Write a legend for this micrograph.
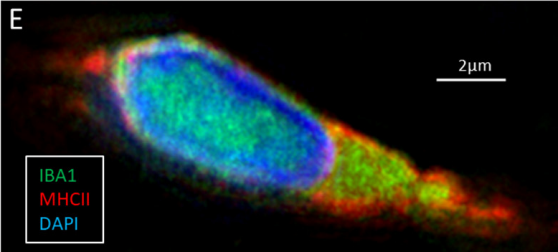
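The cell is elongated, with a large oval nucleus stained blue that fills most of its body. Green staining overlies the nucleus and fills the cytoplasm, which extends to one side as a tapering tail. Red staining forms a rim around the edge of the cell and is strongest along the tail and at the far end. The background is dark, with no neighbouring cells in view.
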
